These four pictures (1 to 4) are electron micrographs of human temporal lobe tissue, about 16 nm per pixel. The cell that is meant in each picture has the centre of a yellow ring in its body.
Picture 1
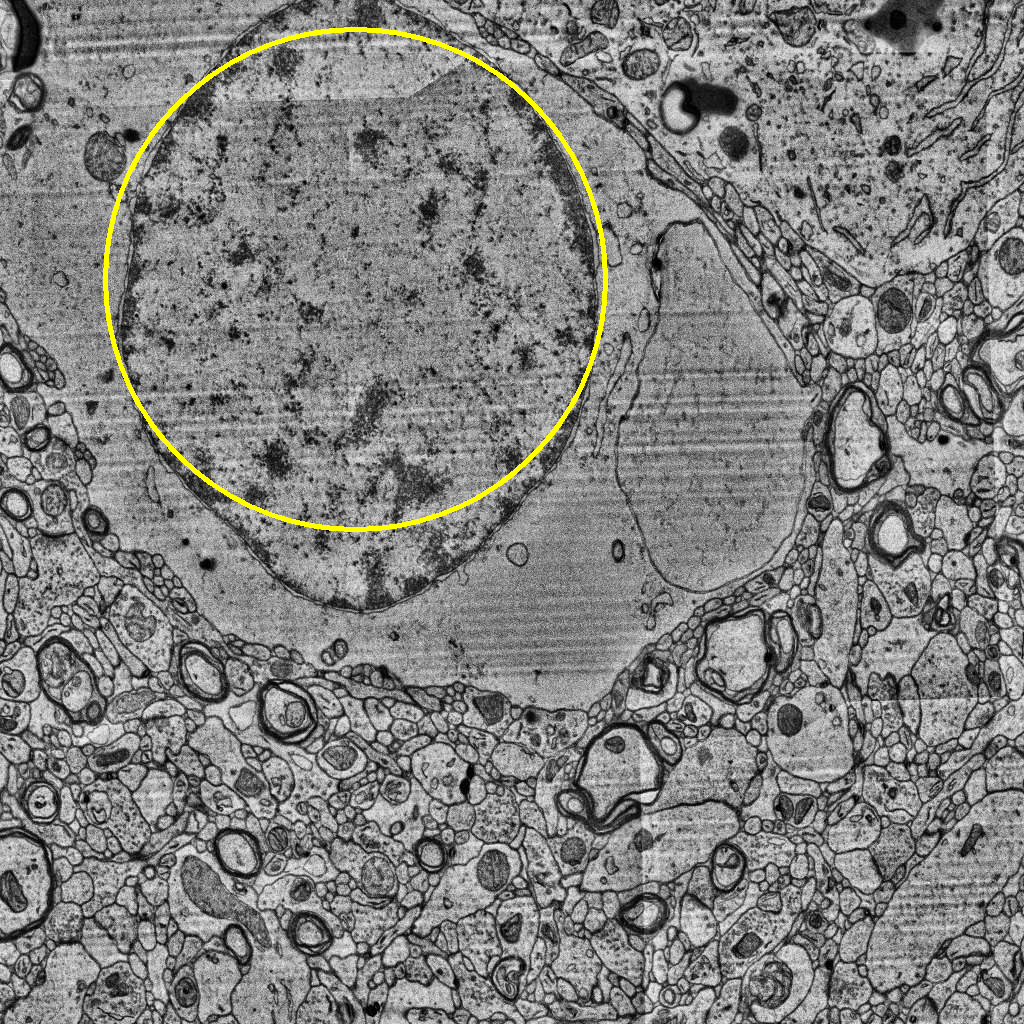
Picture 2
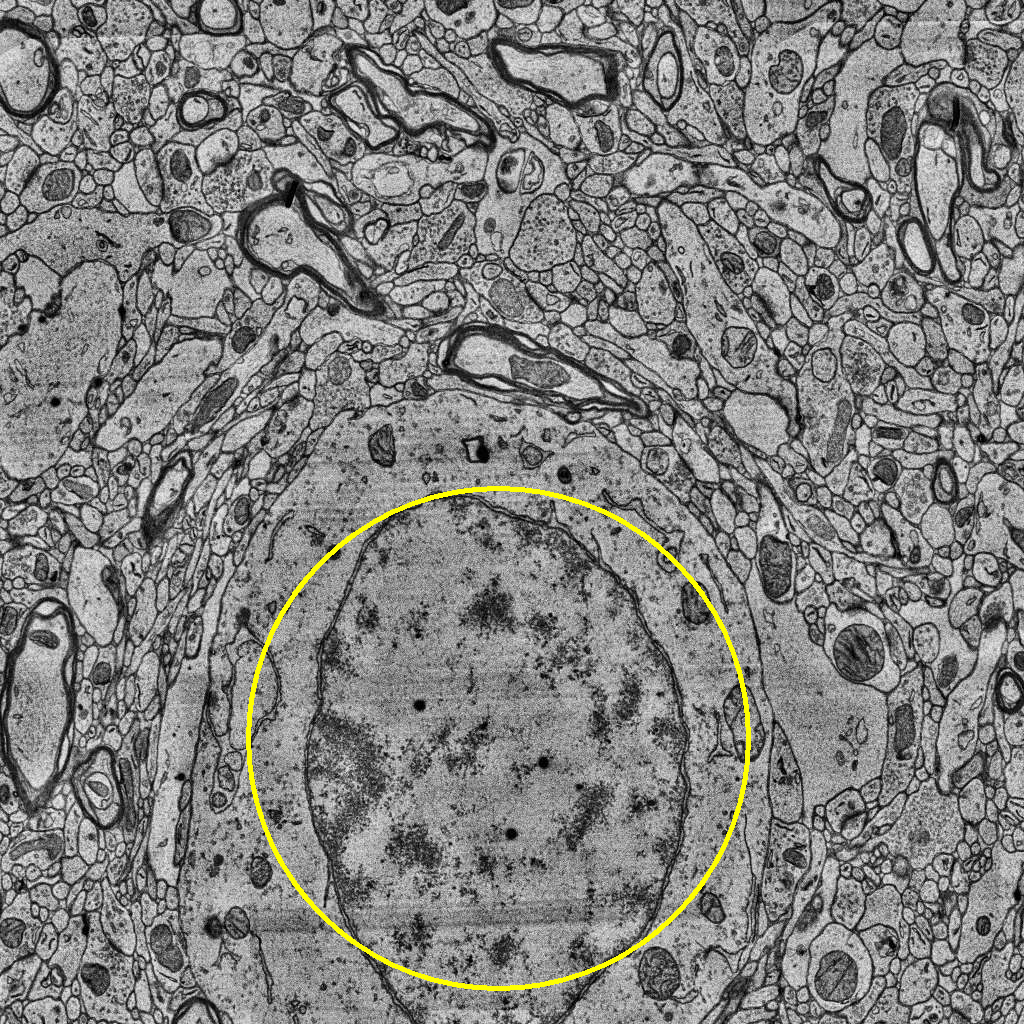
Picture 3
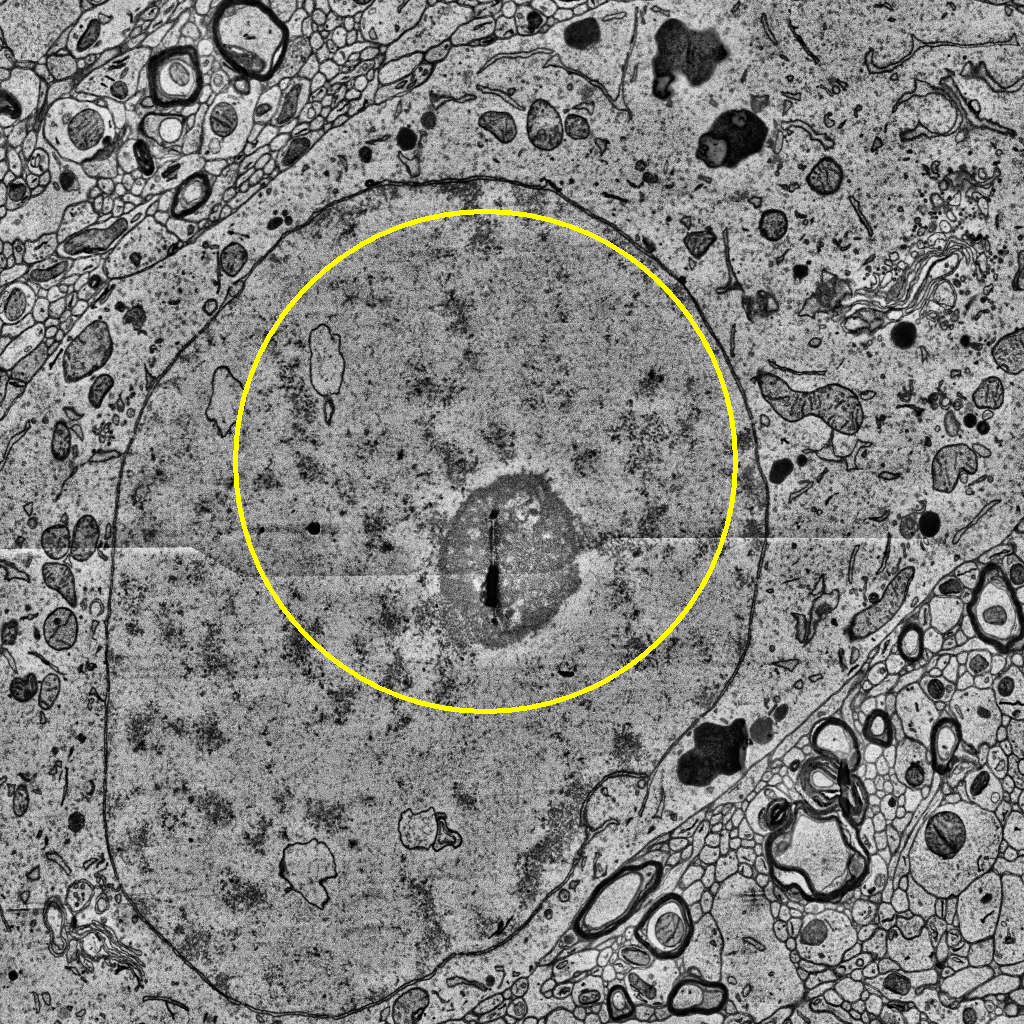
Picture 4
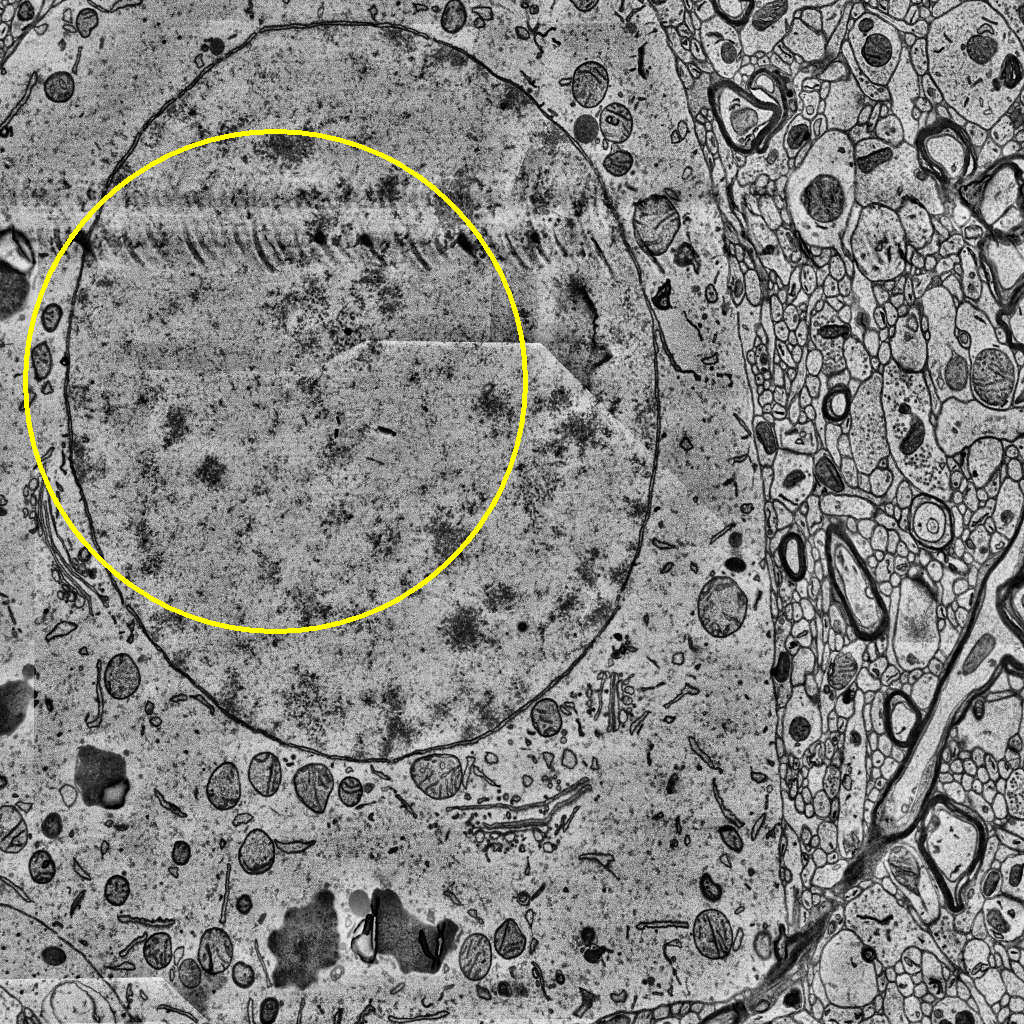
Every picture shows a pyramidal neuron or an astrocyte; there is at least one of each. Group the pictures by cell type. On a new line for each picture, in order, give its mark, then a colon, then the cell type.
1: astrocyte
2: pyramidal neuron
3: pyramidal neuron
4: pyramidal neuron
